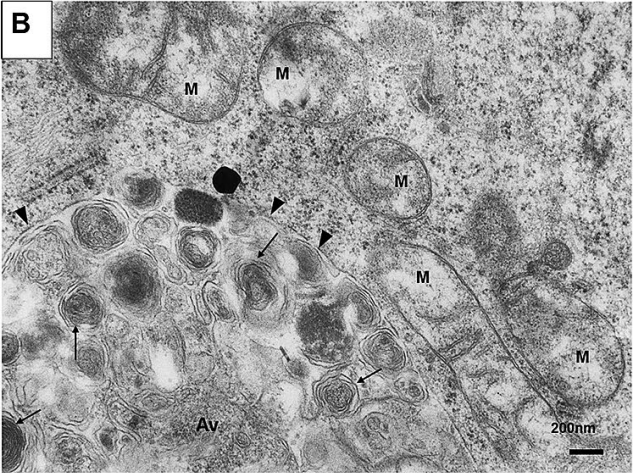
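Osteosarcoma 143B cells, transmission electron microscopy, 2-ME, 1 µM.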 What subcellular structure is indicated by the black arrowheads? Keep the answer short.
double membrane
